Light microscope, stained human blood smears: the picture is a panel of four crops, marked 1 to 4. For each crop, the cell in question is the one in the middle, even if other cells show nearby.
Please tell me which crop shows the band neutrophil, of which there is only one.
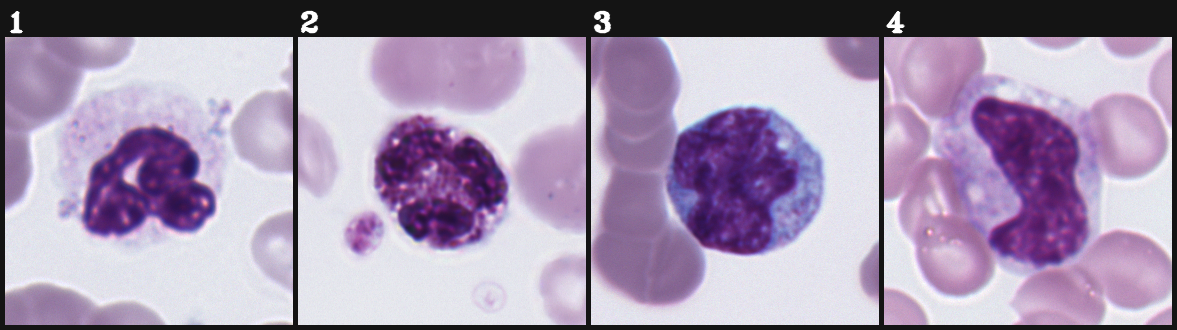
4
